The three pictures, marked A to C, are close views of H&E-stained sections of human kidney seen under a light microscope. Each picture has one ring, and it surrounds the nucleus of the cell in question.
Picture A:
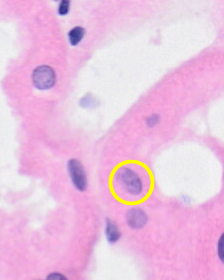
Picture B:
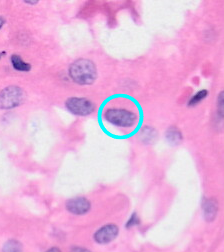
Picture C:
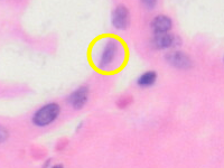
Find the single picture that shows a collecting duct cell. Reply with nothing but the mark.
C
